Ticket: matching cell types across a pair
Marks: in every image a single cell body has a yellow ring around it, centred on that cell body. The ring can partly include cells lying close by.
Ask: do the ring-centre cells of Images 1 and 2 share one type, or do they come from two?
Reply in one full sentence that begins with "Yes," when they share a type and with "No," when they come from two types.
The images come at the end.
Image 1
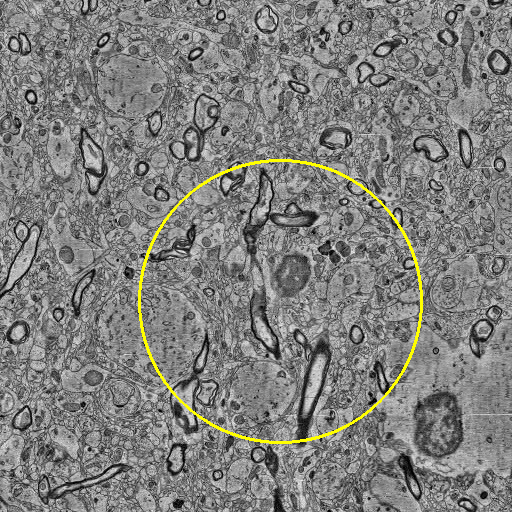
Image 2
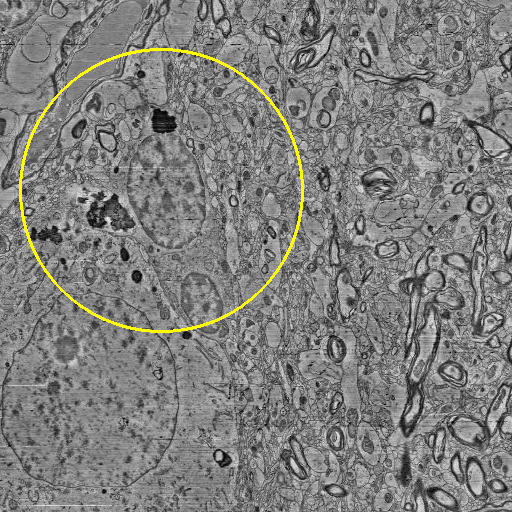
No, the cells in the centres of the rings in Image 1 and Image 2 come from two types.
